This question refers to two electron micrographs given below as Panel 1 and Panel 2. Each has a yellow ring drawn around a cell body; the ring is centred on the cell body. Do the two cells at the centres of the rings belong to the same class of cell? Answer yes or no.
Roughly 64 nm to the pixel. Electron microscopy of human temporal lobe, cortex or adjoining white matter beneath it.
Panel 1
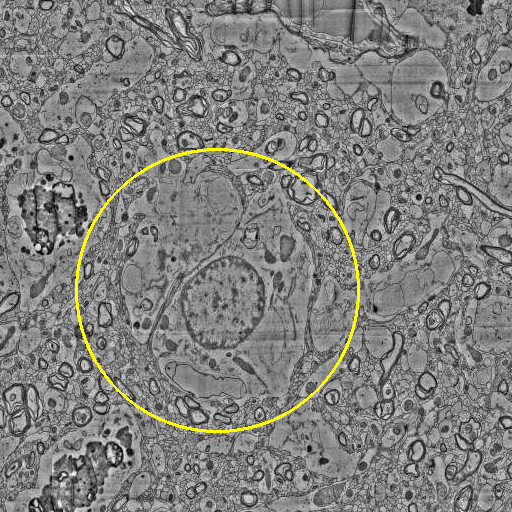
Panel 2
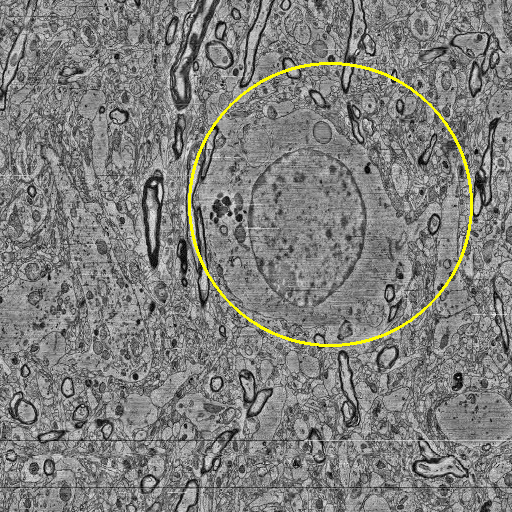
yes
